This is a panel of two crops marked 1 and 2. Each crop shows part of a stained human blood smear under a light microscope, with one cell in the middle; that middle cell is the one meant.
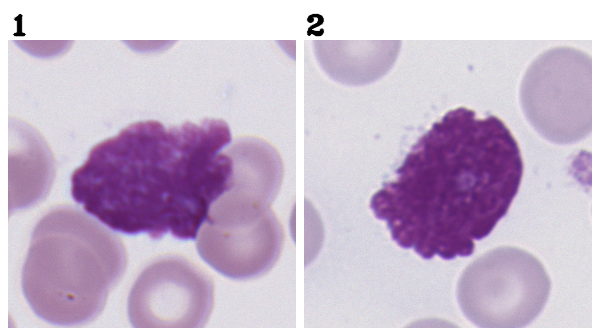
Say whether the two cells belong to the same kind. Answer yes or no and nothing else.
yes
